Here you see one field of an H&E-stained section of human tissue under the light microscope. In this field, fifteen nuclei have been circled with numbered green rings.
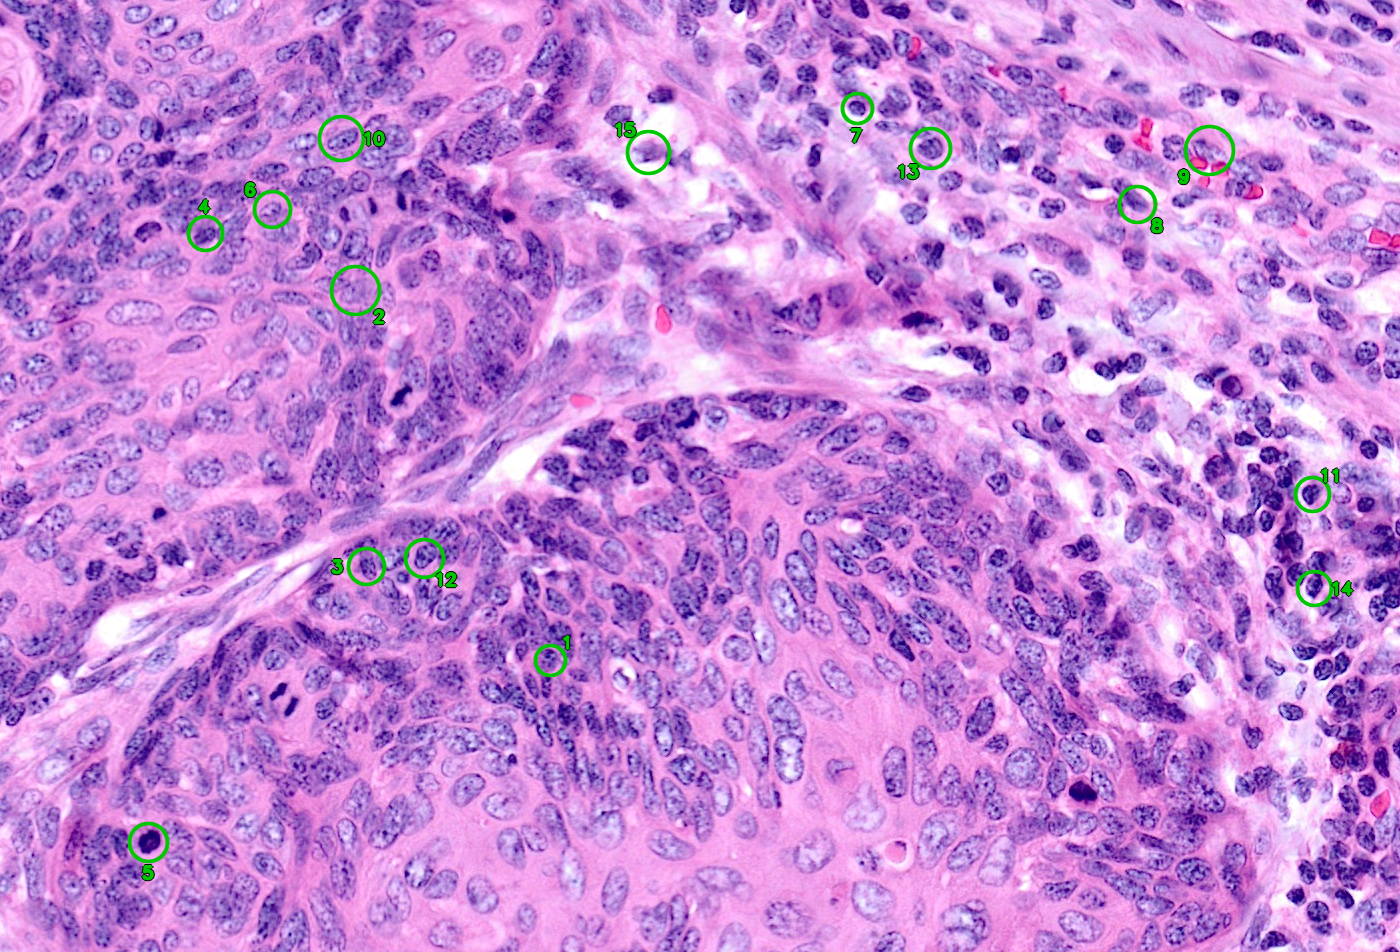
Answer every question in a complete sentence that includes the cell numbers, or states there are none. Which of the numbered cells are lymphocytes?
The cells numbered 7, 8, 11, 13 and 14 are of the kind known as lymphocytes.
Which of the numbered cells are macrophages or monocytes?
It is only cell 15 that is a macrophage or monocyte among the numbered cells.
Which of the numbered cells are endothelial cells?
Cell 9 represents an endothelial cell, and no other numbered cell does.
